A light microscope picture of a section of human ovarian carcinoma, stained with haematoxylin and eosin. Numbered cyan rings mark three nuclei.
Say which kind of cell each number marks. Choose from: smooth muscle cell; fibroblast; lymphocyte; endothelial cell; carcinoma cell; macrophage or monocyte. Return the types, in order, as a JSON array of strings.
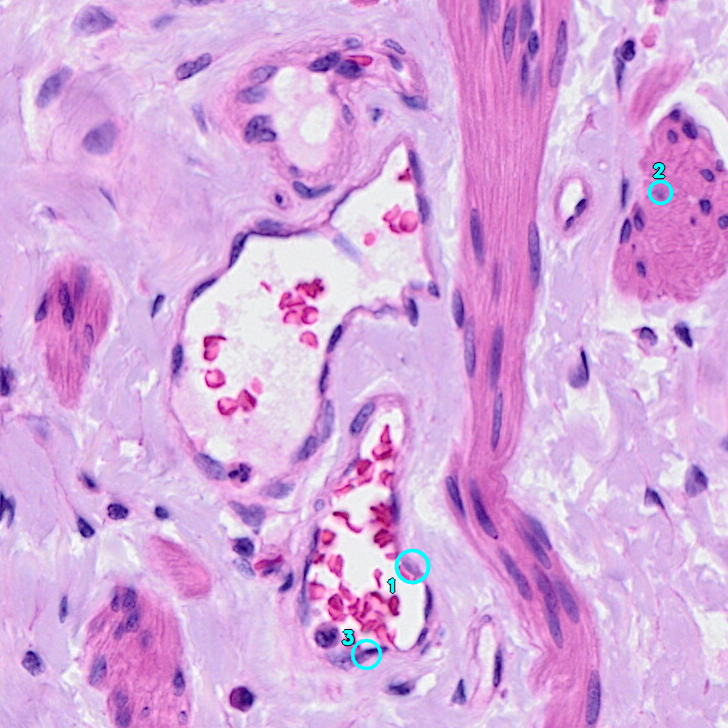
["endothelial cell", "smooth muscle cell", "endothelial cell"]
